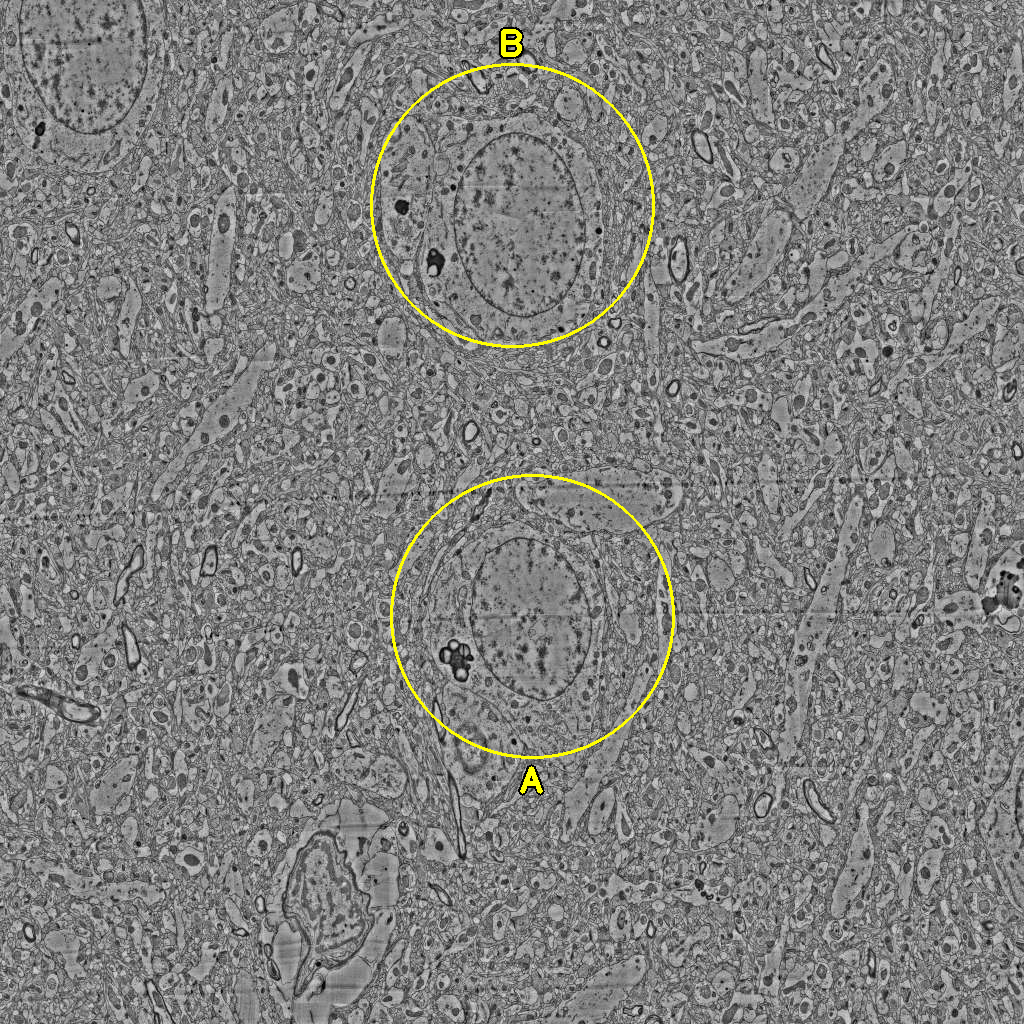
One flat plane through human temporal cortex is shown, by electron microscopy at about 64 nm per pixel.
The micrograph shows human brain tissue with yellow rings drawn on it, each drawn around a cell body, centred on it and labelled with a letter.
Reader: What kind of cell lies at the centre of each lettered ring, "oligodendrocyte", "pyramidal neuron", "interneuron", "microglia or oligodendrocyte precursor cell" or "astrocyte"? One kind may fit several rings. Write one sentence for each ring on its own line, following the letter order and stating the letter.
At the centre of ring A lies a pyramidal neuron.
At the centre of ring B lies a pyramidal neuron.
